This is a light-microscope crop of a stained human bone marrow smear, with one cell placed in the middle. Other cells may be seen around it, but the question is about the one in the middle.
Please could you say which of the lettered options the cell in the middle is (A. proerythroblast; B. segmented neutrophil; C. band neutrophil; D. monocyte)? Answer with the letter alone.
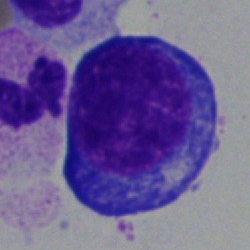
A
